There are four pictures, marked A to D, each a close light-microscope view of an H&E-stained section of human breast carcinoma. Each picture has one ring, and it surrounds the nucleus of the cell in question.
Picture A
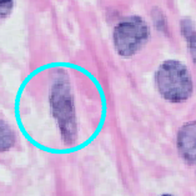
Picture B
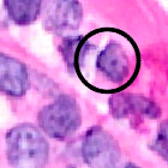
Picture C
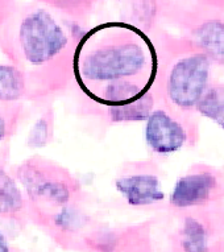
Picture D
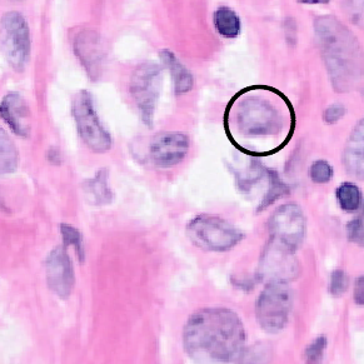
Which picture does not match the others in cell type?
A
